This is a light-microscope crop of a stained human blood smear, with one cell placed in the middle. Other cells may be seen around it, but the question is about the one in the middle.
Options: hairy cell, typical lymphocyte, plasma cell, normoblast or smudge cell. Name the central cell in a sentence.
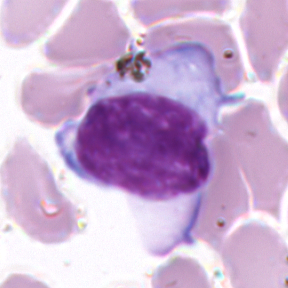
The centrally located cell in the crop is a plasma cell.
